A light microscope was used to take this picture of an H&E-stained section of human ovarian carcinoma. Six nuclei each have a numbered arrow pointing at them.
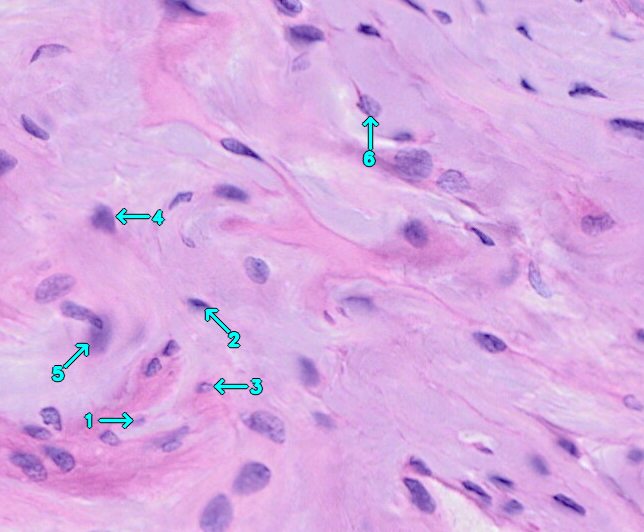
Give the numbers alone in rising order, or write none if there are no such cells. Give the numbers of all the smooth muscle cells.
1, 3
